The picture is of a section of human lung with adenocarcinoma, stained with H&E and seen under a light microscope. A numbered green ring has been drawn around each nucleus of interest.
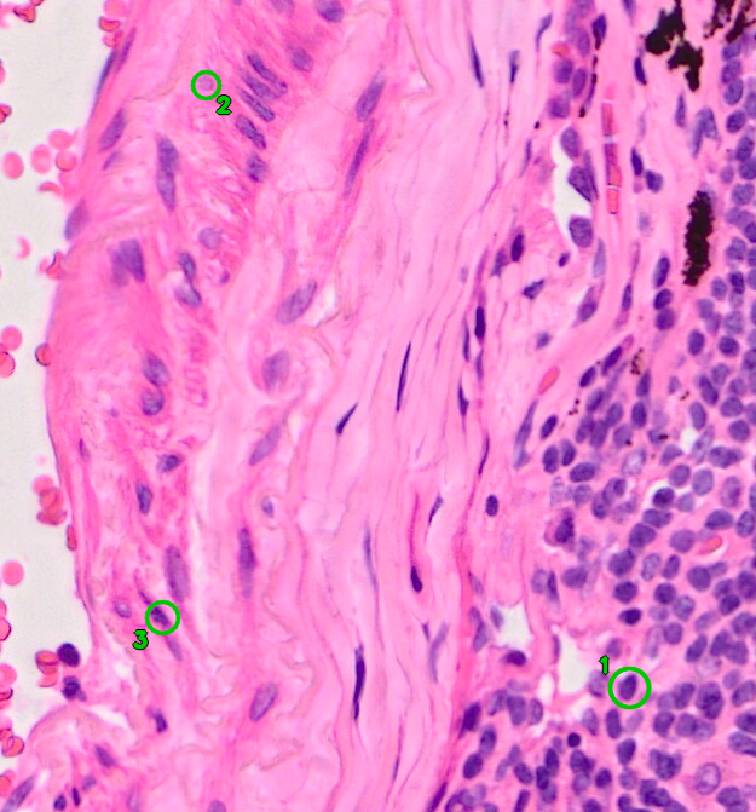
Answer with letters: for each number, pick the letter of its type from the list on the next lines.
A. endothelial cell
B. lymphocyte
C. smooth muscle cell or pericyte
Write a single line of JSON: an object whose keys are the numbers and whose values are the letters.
{"1": "B", "2": "C", "3": "C"}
